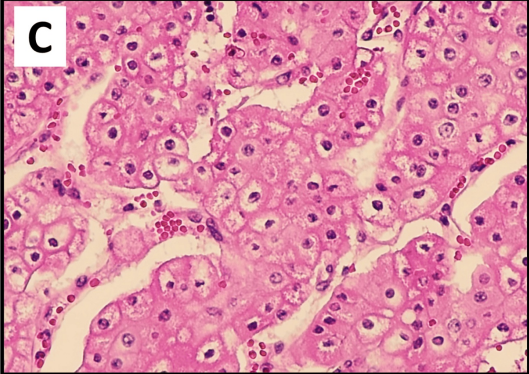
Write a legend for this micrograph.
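This shows nests of large polygonal oncocytic tumor cells with abundant granular pink cytoplasm and round nuclei, many with visible nucleoli. Many nuclei are surrounded by a clear perinuclear halo. The nests are separated by thin delicate stroma carrying capillaries packed with red blood cells.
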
